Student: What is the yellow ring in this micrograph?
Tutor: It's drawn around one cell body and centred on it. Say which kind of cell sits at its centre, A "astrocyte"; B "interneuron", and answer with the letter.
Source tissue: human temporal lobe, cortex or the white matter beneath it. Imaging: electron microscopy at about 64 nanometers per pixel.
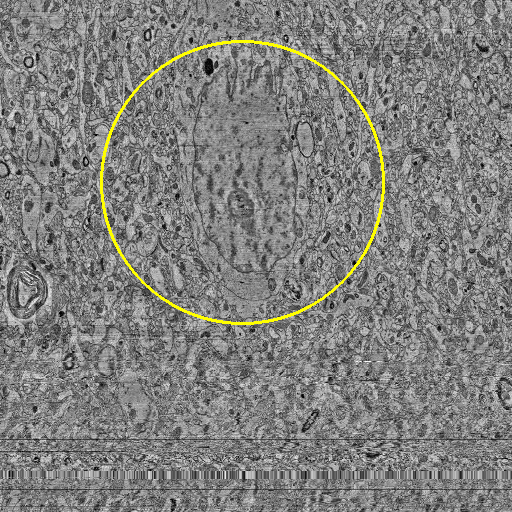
B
